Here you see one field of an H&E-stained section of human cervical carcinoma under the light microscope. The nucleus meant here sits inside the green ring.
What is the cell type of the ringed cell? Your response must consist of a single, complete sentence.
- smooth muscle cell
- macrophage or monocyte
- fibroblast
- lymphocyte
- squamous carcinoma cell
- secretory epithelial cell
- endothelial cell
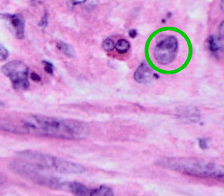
The cell type of the ringed cell is that of a macrophage or monocyte.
